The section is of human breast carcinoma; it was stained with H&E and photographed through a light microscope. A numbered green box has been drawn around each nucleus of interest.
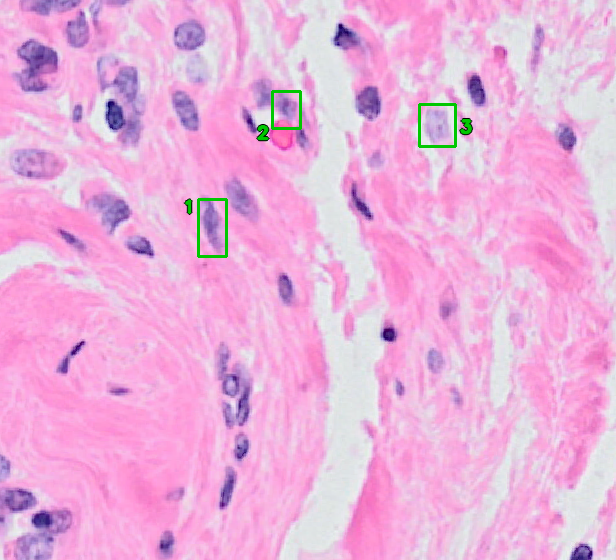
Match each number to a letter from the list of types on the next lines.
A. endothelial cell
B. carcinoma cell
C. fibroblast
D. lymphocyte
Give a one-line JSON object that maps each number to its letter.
{"1": "C", "2": "A", "3": "C"}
